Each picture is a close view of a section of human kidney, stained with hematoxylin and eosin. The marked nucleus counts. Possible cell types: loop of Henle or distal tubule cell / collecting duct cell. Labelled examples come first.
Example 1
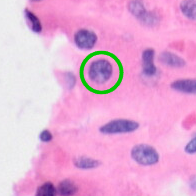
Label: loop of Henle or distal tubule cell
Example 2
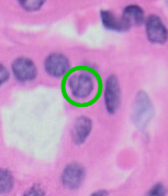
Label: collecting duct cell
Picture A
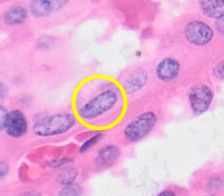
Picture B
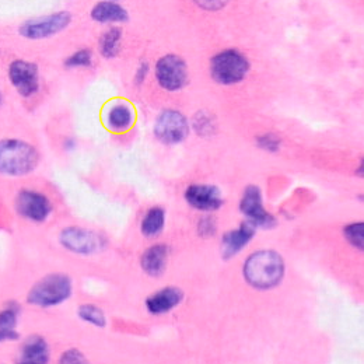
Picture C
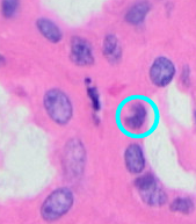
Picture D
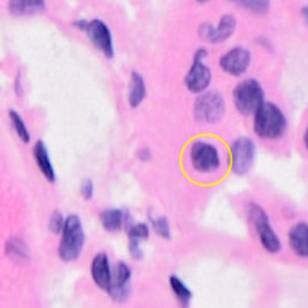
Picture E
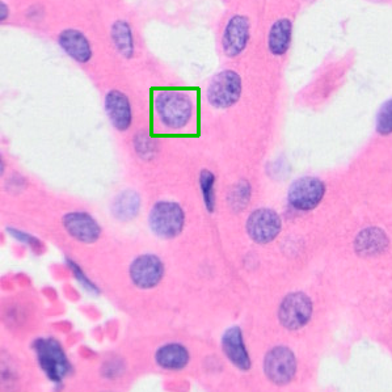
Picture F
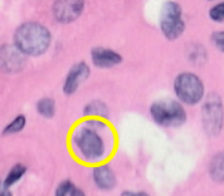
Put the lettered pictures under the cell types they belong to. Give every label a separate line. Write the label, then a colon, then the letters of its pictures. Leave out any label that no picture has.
loop of Henle or distal tubule cell: B, C, E
collecting duct cell: A, D, F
